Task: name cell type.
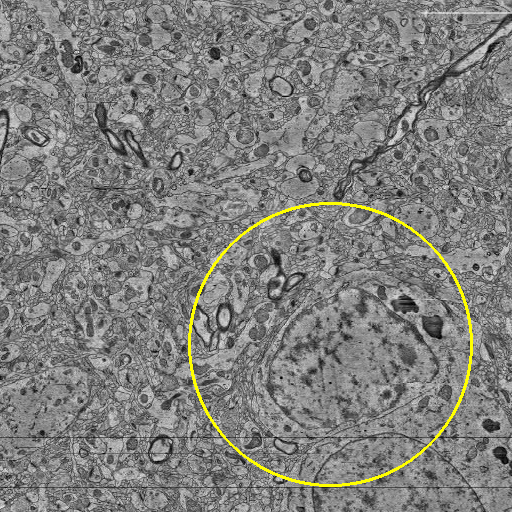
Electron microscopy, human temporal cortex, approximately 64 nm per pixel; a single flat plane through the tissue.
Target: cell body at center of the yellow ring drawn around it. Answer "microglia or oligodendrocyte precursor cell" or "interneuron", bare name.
interneuron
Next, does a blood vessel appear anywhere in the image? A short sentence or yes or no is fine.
No.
